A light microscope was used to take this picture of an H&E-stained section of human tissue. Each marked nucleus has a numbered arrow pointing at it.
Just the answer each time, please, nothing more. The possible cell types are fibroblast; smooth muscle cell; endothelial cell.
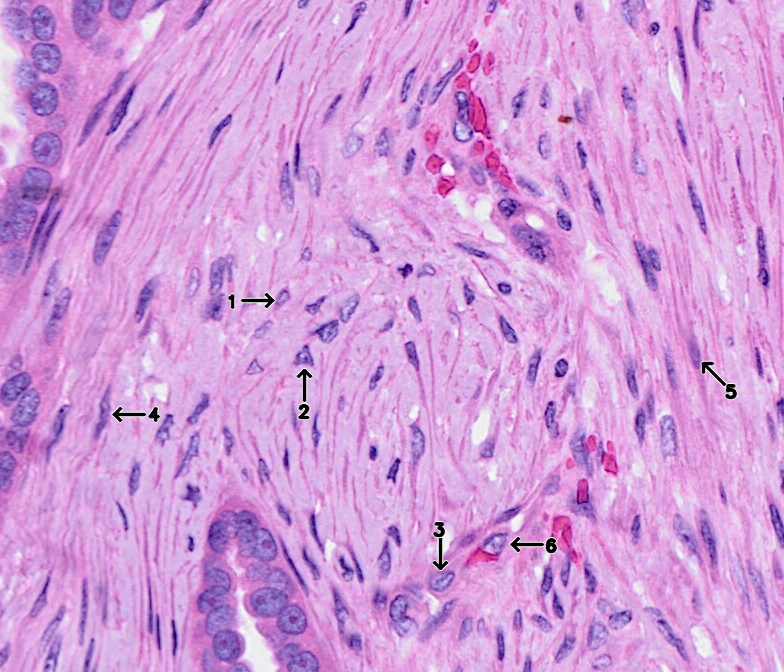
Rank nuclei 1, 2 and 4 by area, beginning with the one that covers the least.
1, 2, 4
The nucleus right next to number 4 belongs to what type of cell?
fibroblast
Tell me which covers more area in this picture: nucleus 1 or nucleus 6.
6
